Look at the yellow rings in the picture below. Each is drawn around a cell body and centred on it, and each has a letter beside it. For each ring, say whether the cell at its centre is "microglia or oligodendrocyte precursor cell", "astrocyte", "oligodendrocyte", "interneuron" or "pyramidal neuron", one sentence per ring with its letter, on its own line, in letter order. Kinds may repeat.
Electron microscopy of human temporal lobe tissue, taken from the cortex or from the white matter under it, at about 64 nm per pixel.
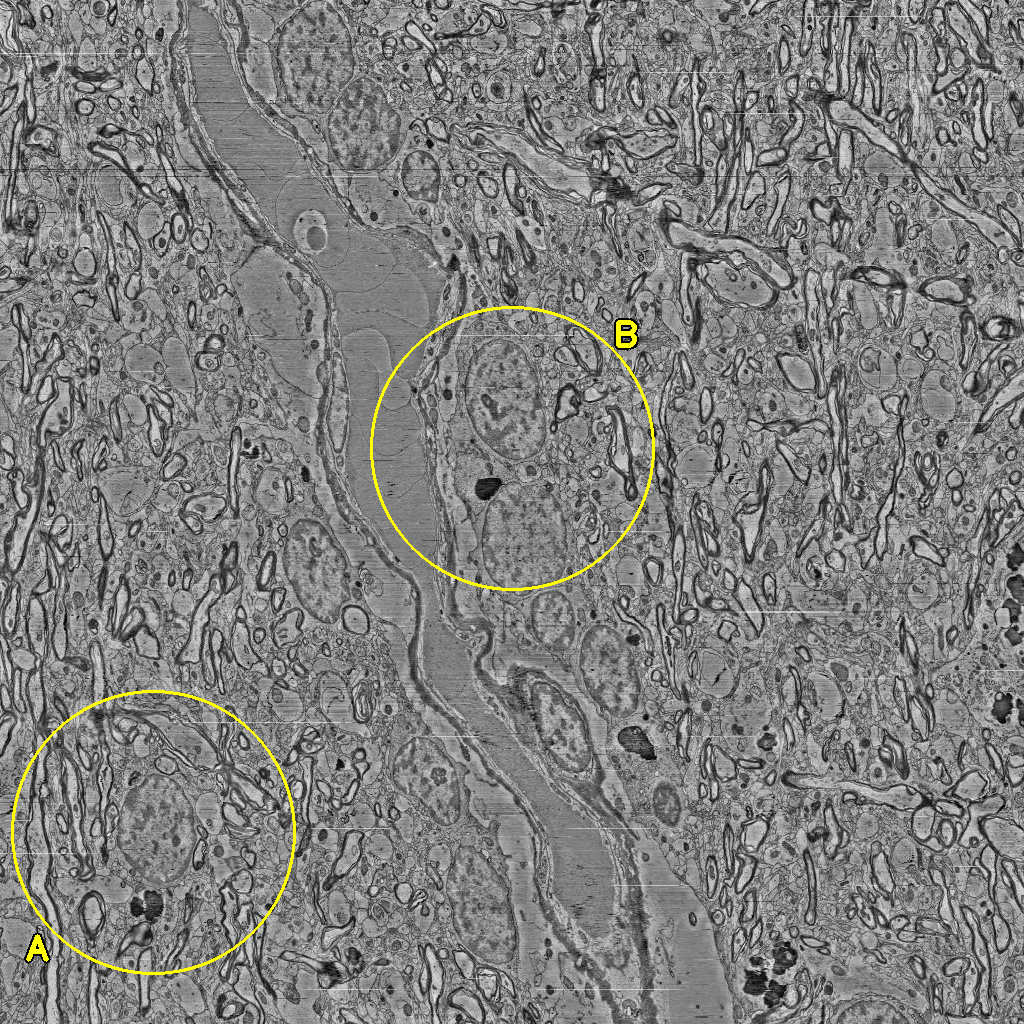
The centred cell of ring A is an oligodendrocyte.
The centred cell of ring B is an oligodendrocyte.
